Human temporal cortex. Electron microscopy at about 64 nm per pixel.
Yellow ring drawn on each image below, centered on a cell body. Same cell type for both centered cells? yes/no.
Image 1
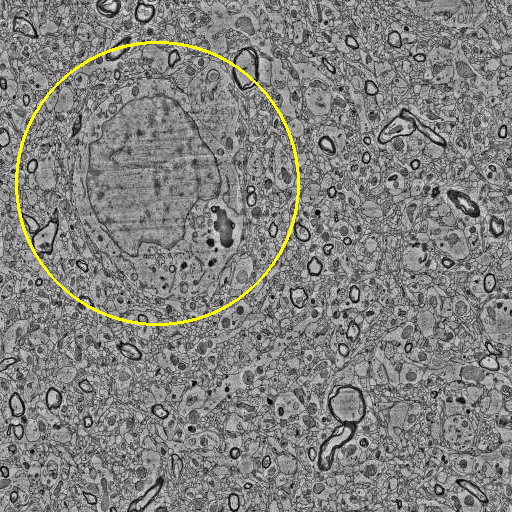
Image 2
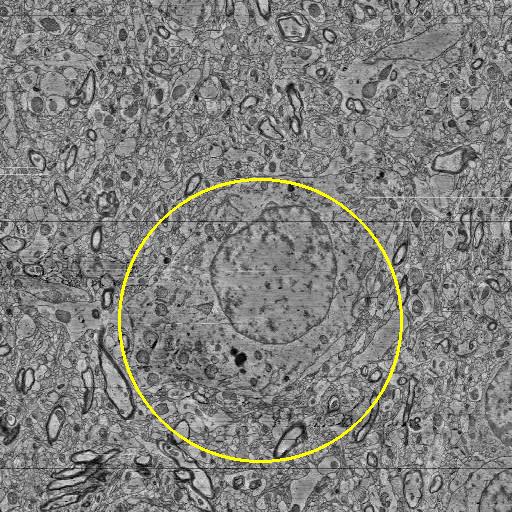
no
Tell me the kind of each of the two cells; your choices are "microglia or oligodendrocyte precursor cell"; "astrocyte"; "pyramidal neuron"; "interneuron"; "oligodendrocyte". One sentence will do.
The ringed cell is an interneuron in the first picture and a pyramidal neuron in the second picture.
